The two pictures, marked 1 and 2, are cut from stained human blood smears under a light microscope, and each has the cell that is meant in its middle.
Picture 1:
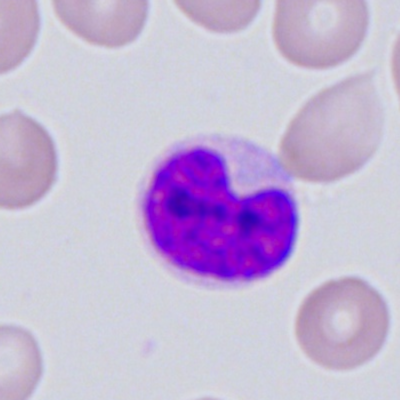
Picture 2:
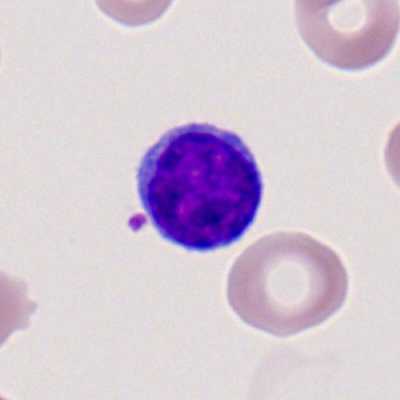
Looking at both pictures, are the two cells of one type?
yes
